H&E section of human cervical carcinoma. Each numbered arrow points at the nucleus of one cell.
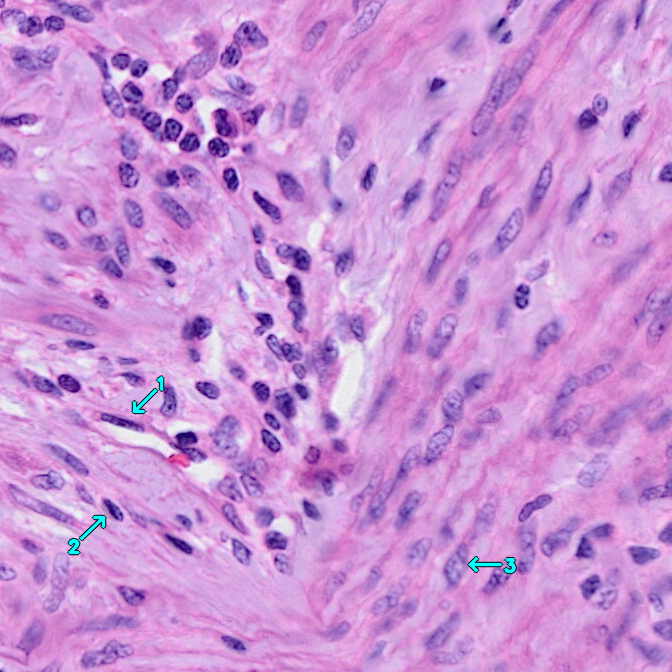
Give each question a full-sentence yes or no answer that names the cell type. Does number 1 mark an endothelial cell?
Yes, looking at number 1, that cell is an endothelial cell.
